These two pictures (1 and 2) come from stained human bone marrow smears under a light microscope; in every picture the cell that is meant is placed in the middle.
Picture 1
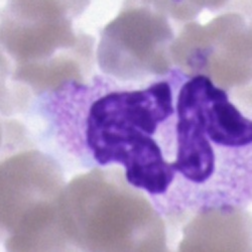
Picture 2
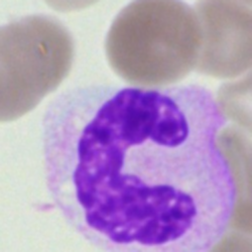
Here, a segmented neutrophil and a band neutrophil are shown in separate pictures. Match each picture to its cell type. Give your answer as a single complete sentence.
Picture 1 is of a segmented neutrophil, and picture 2 is of a band neutrophil.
